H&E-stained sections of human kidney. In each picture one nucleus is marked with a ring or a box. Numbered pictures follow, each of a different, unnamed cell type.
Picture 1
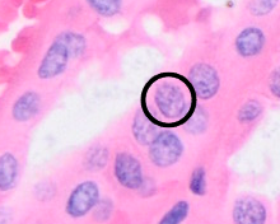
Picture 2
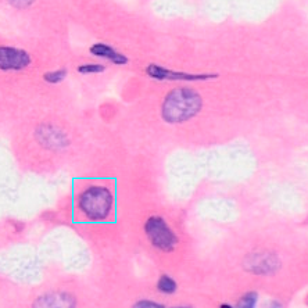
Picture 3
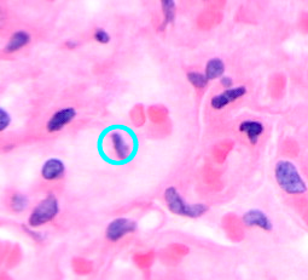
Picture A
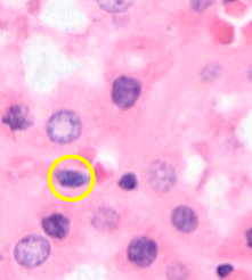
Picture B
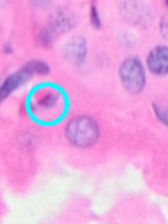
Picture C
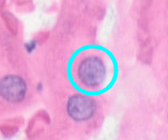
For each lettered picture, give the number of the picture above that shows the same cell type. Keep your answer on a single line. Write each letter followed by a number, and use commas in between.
A 3, B 3, C 2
